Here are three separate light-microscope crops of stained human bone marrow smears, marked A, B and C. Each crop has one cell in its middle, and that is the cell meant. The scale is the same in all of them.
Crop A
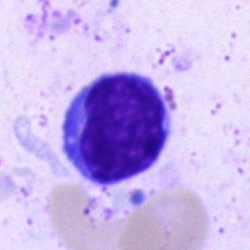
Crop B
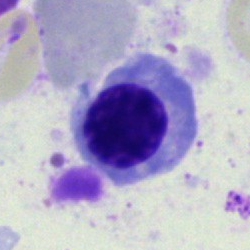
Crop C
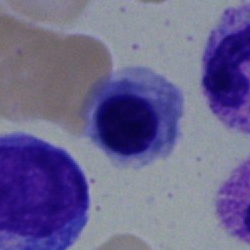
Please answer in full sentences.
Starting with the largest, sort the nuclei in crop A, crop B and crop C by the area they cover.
The order is A, B, C, beginning with the largest.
